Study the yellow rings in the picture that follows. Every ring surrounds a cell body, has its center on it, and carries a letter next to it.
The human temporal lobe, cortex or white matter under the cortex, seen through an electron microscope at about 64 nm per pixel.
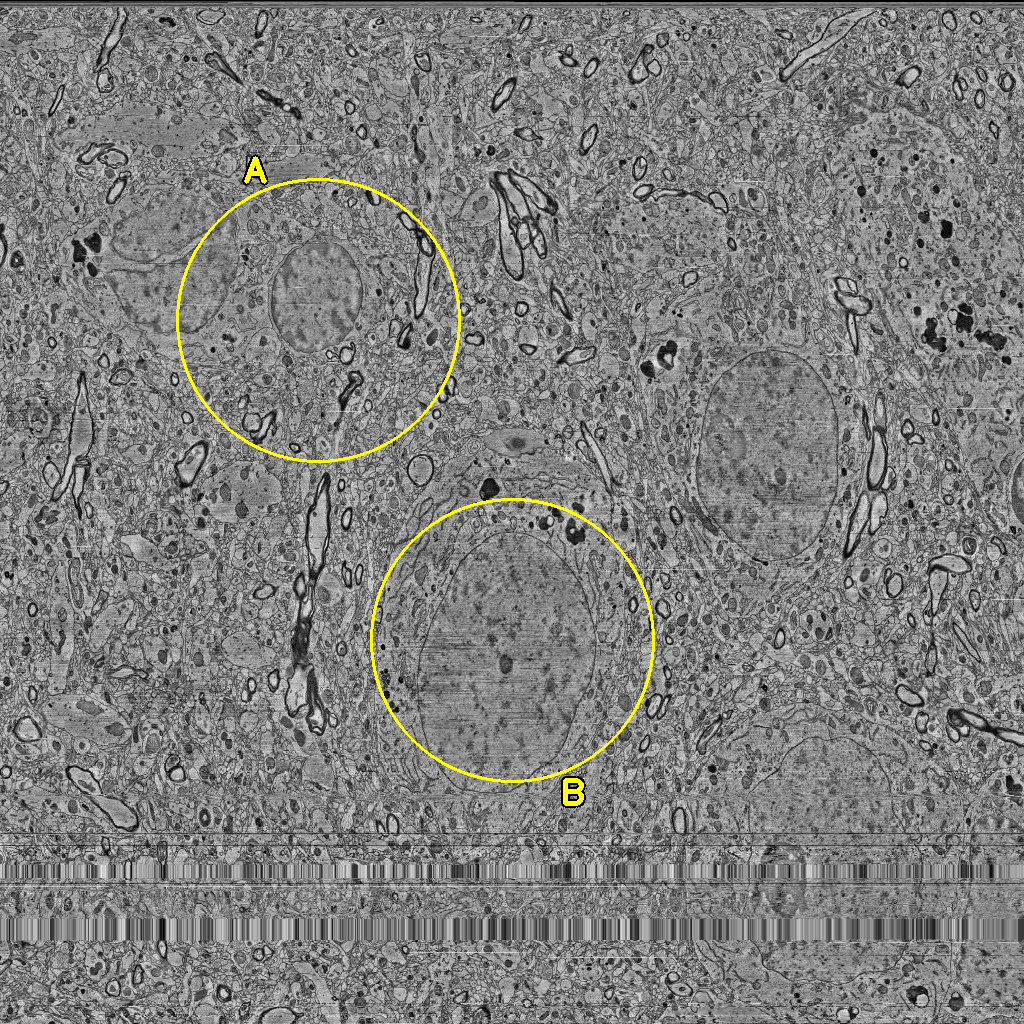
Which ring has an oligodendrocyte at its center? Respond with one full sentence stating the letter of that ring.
The ring centered on the cell asked for carries the letter A.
